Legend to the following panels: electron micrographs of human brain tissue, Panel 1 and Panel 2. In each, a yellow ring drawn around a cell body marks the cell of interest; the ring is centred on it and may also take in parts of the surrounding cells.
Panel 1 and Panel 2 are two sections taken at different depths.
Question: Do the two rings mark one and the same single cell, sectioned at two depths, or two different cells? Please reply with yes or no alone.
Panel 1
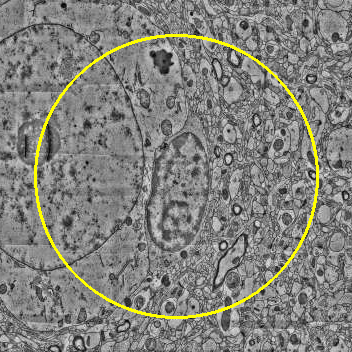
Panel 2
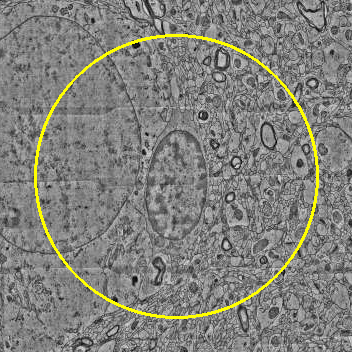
yes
